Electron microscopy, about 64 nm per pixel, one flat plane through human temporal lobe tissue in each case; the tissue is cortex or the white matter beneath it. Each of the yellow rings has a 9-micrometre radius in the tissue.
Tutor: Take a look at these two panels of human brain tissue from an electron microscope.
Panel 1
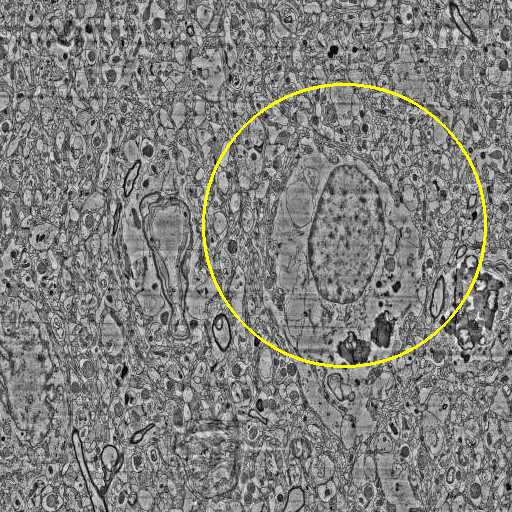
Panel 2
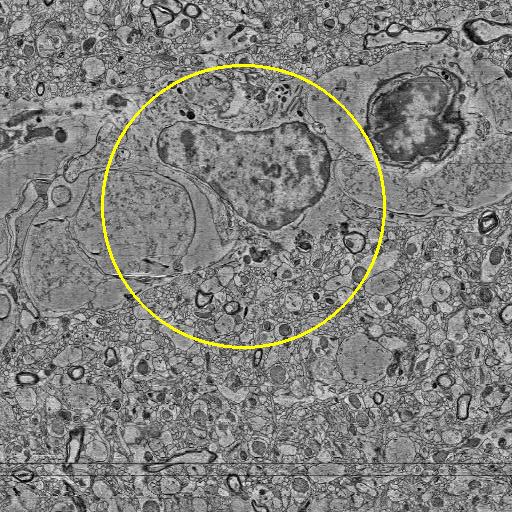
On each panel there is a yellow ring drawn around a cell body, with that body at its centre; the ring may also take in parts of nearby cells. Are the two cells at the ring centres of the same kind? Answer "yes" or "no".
no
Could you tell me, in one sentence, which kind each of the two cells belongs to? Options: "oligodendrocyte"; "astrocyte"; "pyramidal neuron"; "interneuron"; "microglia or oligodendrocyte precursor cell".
At the centre of the first ring sits an astrocyte, and at the centre of the second sits a microglial cell or oligodendrocyte precursor cell.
